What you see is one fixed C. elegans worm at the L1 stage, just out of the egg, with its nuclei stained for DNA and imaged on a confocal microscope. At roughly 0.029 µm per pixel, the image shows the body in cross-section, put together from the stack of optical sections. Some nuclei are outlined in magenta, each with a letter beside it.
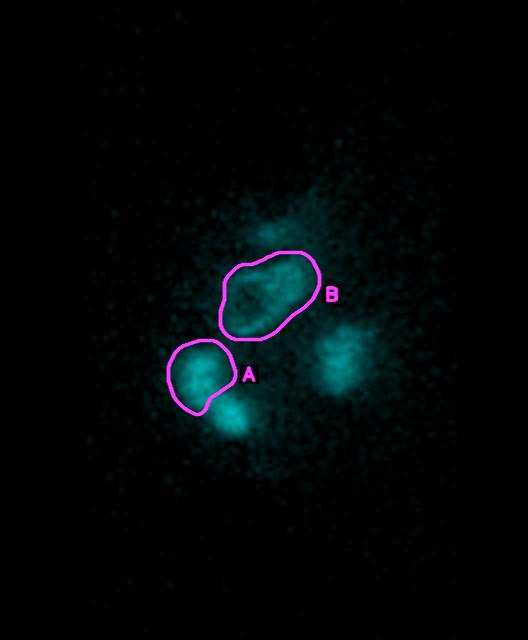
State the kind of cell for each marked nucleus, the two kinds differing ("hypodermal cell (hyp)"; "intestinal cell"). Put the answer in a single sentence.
The nucleus A is that of a hypodermal cell (hyp), while B is that of an intestinal cell.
